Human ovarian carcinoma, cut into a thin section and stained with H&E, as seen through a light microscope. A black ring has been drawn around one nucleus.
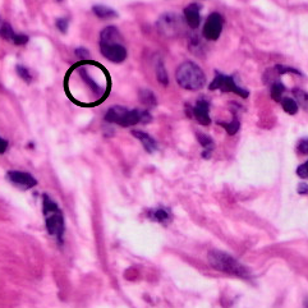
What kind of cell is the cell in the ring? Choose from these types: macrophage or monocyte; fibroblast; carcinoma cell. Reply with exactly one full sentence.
Placed in its cell category, the cell in the ring is a fibroblast.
